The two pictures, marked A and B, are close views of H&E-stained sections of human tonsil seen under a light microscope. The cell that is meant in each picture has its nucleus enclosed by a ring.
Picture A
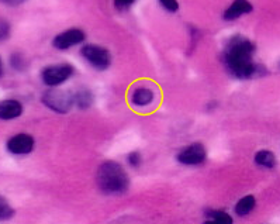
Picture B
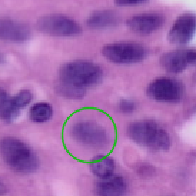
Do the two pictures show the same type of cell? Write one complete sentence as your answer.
No, the types are not the same, since picture A shows a mast cell and picture B a squamous epithelial cell.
